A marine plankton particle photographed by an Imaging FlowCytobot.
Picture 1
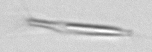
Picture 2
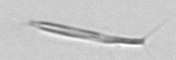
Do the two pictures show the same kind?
Yes, both are Calciosolenia.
